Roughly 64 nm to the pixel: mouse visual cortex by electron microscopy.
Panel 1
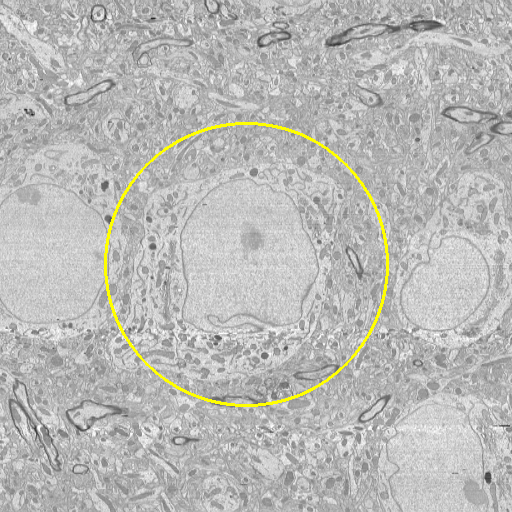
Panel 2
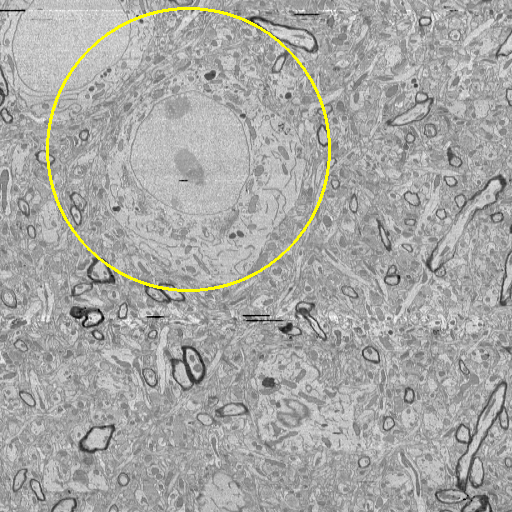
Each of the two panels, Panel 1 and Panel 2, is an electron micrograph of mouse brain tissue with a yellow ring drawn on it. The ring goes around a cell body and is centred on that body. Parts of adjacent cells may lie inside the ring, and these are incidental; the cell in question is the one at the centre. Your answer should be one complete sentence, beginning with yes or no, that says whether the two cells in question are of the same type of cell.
No, the two cells are of two types.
